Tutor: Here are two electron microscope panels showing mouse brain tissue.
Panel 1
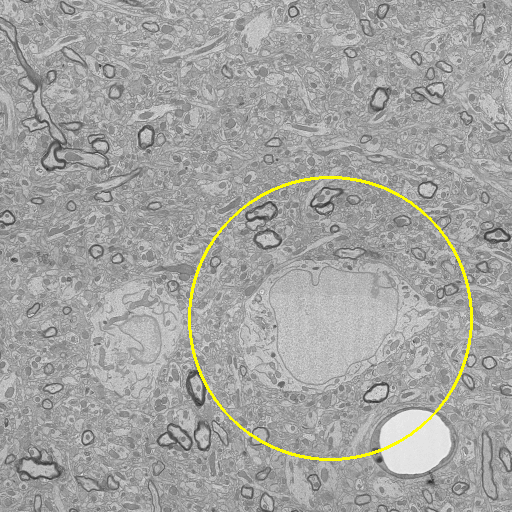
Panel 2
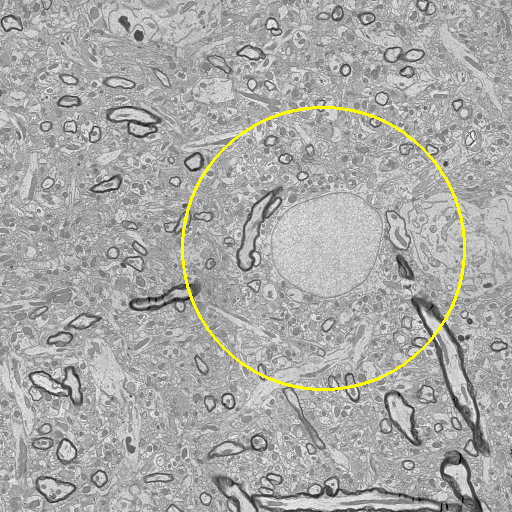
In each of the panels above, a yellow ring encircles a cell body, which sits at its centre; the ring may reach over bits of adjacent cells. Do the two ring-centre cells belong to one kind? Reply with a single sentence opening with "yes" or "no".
No, the two cells sitting at the ring centres in the panels belong to two kinds.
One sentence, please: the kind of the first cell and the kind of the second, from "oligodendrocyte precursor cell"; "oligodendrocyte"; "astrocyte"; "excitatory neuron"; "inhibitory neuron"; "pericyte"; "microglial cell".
The ring in the first picture surrounds an excitatory neuron, and the ring in the second surrounds an astrocyte.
